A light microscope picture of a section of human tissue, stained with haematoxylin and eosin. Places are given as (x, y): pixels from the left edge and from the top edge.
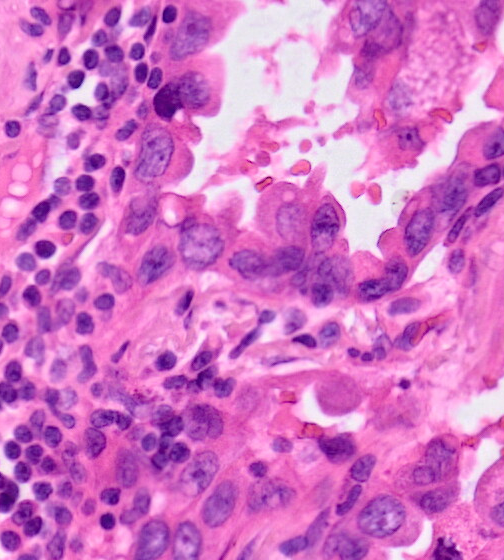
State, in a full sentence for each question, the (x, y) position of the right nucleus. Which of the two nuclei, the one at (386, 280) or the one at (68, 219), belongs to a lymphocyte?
The nucleus that belongs to a lymphocyte is located at (68, 219).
